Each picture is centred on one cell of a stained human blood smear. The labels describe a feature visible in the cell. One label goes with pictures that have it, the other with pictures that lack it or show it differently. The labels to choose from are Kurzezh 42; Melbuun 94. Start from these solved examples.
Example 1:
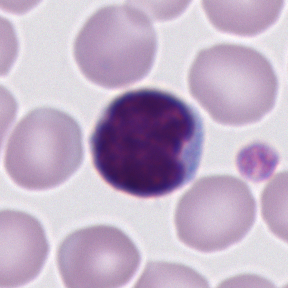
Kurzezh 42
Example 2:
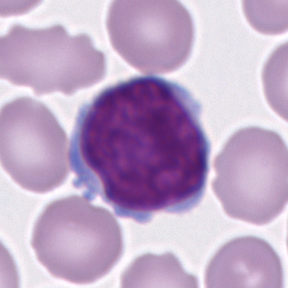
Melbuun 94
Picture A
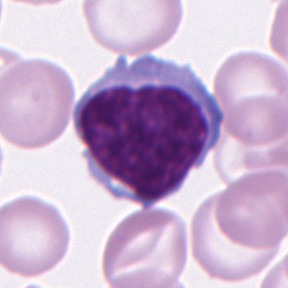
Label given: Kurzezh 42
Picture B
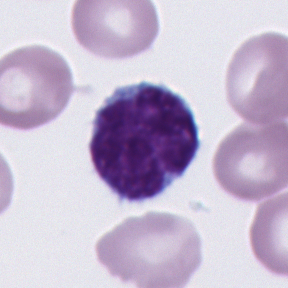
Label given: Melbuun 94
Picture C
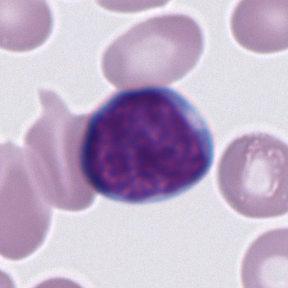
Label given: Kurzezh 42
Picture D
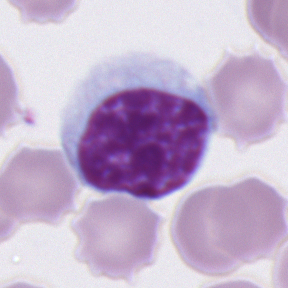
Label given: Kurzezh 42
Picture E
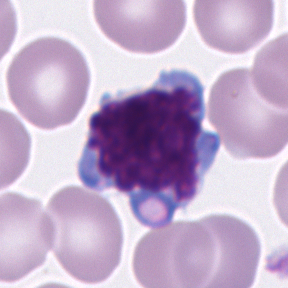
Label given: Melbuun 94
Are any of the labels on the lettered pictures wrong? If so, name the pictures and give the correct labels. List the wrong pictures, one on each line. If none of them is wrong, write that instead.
Wrong: A (Kurzezh 42); correct: Melbuun 94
